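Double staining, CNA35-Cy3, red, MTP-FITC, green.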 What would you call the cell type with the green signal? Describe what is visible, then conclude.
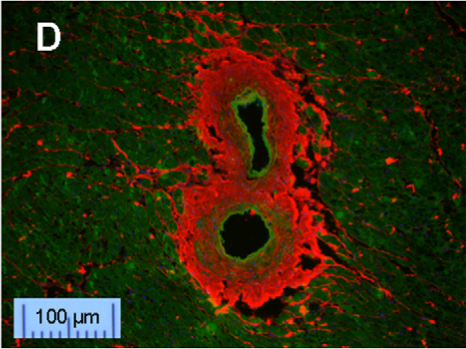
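Green signal fills the tissue surrounding the vessels. On this evidence: myocyte.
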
